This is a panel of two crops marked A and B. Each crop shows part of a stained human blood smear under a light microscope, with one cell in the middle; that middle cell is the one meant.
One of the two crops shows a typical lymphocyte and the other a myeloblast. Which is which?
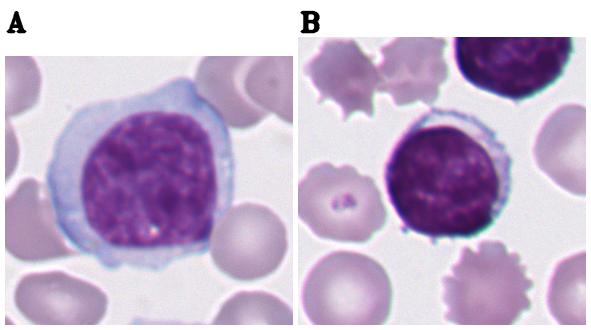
A: myeloblast
B: typical lymphocyte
